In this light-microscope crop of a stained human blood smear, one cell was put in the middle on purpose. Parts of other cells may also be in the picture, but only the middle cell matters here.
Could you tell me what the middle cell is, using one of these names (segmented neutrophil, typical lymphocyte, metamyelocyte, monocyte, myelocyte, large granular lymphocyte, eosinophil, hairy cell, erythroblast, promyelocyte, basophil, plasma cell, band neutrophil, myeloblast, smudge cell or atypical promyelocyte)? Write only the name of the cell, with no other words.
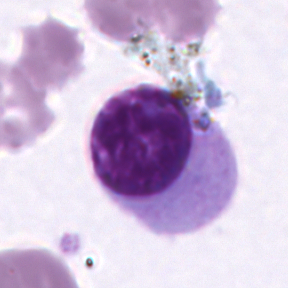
plasma cell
